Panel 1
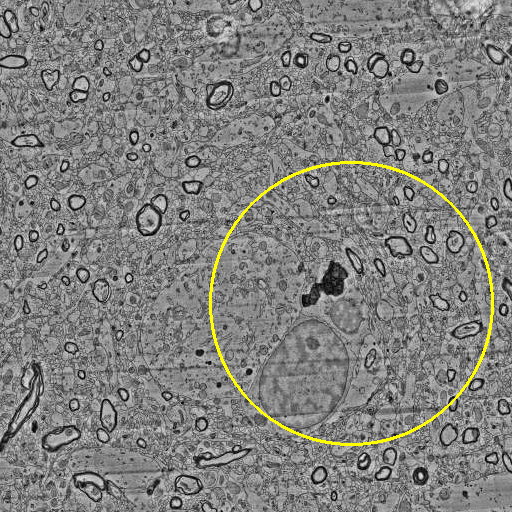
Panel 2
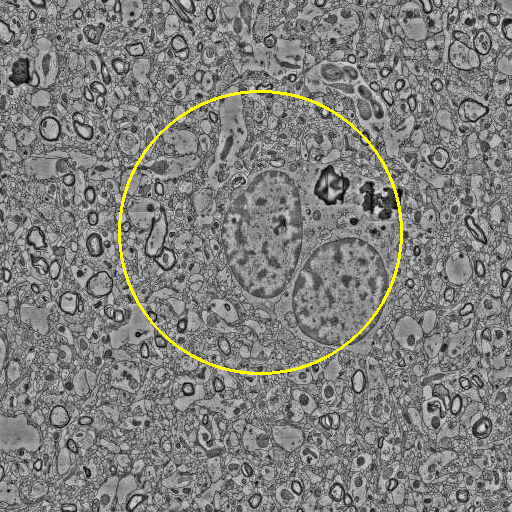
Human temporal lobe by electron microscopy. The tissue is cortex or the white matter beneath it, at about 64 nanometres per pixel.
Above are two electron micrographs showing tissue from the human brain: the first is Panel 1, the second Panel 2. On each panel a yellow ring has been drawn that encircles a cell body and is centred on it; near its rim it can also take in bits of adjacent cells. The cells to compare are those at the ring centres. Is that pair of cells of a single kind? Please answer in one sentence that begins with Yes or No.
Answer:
Yes, the ring-centred cells of Panel 1 and Panel 2 belong to one kind.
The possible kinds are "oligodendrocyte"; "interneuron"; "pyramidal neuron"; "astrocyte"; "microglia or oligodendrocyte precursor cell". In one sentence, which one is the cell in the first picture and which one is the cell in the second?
Each of the two rings is centred on an oligodendrocyte.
